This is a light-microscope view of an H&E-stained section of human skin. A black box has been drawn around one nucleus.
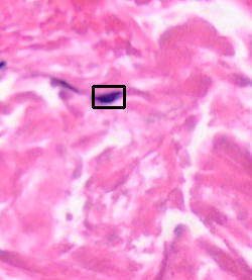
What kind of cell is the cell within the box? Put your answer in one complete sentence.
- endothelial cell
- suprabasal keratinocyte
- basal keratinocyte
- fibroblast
Among the cells in this section, the cell within the box is a fibroblast.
